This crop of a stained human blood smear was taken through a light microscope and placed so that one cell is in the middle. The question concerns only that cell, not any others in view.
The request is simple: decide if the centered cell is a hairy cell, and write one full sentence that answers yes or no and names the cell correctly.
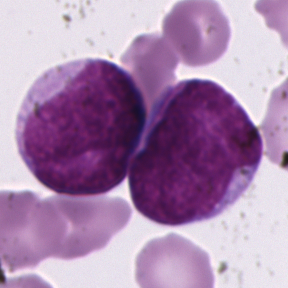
No, it isn't a hairy cell; what sits in the middle is a blast.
